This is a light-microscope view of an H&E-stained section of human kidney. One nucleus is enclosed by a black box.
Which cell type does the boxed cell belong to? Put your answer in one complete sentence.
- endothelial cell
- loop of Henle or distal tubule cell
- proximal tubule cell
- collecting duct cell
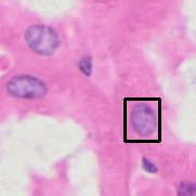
It is as a proximal tubule cell that the boxed cell is classified.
